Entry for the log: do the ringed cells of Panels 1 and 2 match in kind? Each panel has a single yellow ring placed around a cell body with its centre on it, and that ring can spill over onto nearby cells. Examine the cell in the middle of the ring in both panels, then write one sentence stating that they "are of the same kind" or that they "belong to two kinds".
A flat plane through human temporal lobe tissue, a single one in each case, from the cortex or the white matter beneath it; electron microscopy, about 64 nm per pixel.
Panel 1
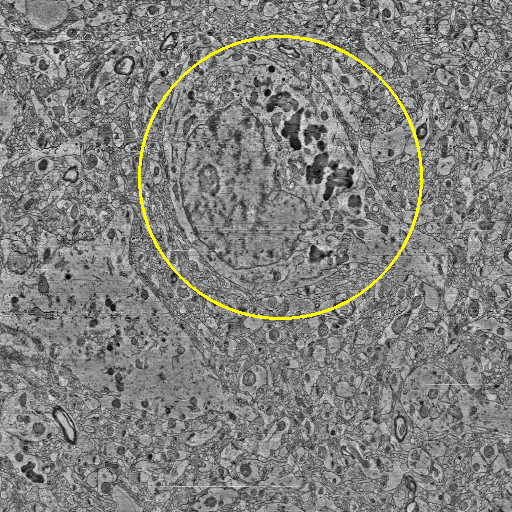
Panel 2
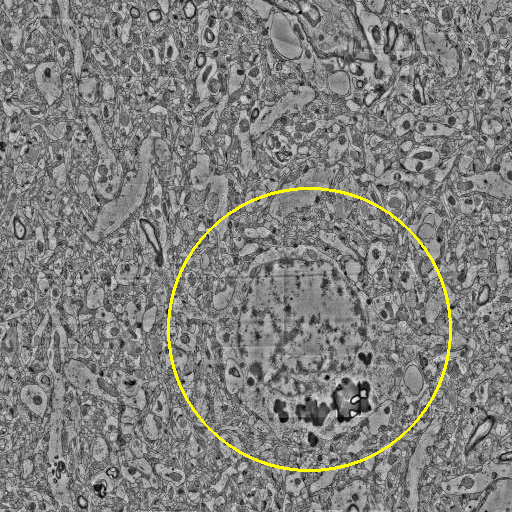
The centre cell of Panel 1's ring and that of Panel 2's ring are of the same kind.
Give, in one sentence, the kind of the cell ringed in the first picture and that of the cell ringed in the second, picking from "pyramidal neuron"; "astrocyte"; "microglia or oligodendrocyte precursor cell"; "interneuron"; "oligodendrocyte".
In both pictures the ring is centred on an interneuron.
